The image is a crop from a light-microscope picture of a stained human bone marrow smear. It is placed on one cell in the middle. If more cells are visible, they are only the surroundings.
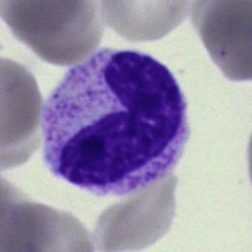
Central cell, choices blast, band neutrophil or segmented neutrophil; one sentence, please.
In this crop, the cell at the very middle is a band neutrophil.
